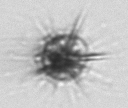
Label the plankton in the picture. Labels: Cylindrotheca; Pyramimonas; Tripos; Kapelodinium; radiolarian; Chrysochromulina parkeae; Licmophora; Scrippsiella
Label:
radiolarian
